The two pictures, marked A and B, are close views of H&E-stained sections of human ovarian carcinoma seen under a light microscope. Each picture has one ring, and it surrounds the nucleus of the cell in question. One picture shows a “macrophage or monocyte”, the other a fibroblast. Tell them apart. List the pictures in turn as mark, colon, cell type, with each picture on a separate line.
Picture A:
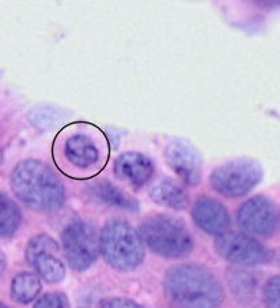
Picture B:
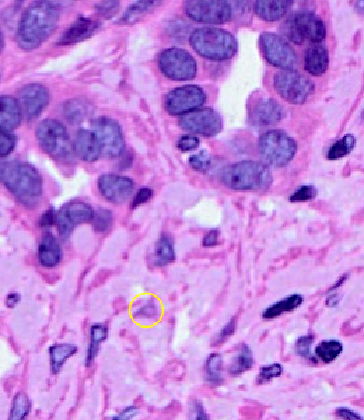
A: macrophage or monocyte
B: fibroblast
